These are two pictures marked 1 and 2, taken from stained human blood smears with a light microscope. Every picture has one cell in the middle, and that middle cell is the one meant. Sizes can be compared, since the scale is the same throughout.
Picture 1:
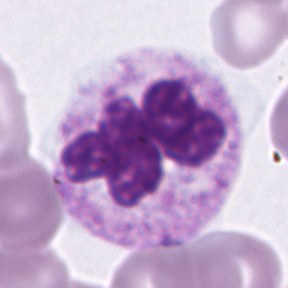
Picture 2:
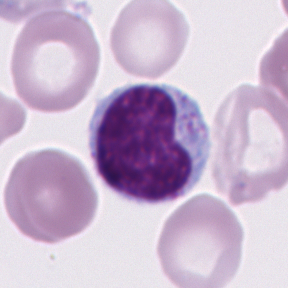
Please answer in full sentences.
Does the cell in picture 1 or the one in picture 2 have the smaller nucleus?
It is the nucleus in picture 2; the one in picture 1 has about 1.5 times its area.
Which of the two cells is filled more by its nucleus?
The nucleus fills more of the cell in picture 2 than in picture 1.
